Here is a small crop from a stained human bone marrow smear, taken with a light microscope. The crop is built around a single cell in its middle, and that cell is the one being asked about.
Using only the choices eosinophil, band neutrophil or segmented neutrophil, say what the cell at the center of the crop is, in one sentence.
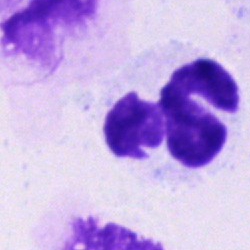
The cell nearest the centre of this crop is a segmented neutrophil.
